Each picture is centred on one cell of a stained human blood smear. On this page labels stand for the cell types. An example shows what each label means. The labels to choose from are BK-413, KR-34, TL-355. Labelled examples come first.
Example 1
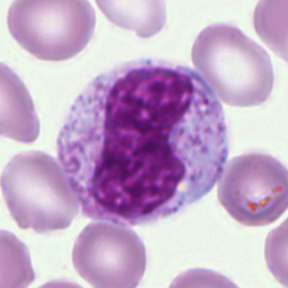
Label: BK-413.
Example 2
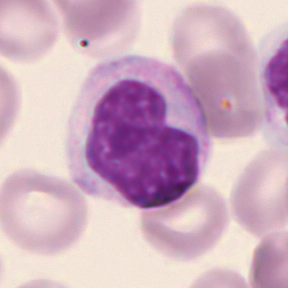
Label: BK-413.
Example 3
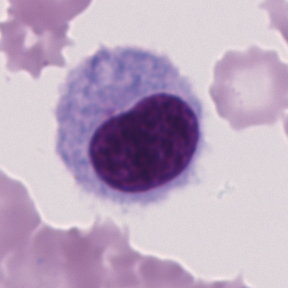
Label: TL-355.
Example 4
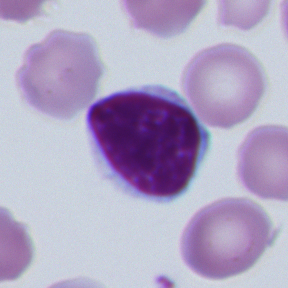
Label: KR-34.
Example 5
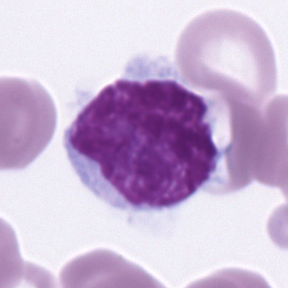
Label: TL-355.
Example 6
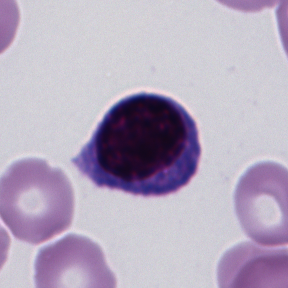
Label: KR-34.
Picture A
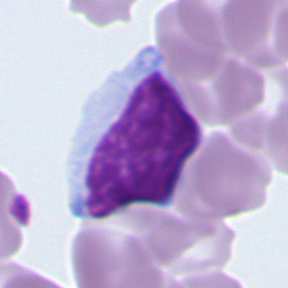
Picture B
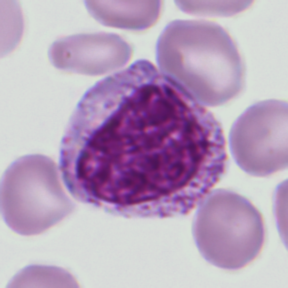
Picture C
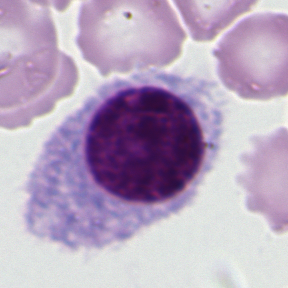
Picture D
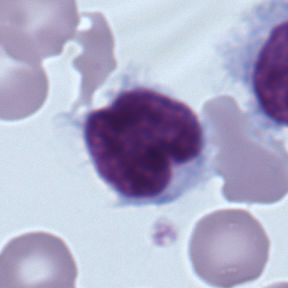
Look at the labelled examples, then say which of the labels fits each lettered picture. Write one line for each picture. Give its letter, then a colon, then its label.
A: KR-34.
B: BK-413.
C: TL-355.
D: TL-355.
